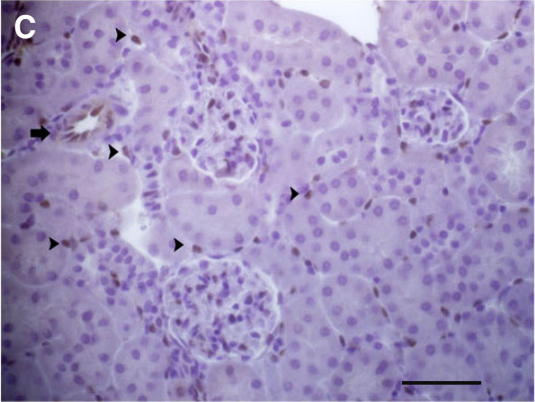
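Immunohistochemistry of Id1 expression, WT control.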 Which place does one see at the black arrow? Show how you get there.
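Arteriolar. The arrow points to brown-stained elongated nuclei lining a small vessel with a narrow lumen.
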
